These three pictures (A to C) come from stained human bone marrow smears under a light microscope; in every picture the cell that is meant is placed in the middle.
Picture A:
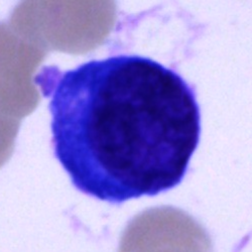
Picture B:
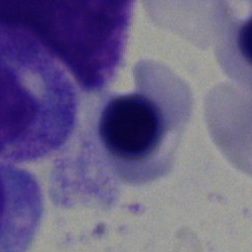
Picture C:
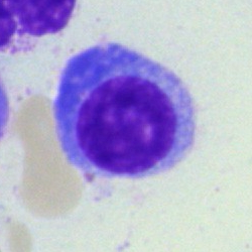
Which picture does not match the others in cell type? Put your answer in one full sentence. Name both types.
Unlike the rest, which show plasma cells, picture B shows an erythroblast.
